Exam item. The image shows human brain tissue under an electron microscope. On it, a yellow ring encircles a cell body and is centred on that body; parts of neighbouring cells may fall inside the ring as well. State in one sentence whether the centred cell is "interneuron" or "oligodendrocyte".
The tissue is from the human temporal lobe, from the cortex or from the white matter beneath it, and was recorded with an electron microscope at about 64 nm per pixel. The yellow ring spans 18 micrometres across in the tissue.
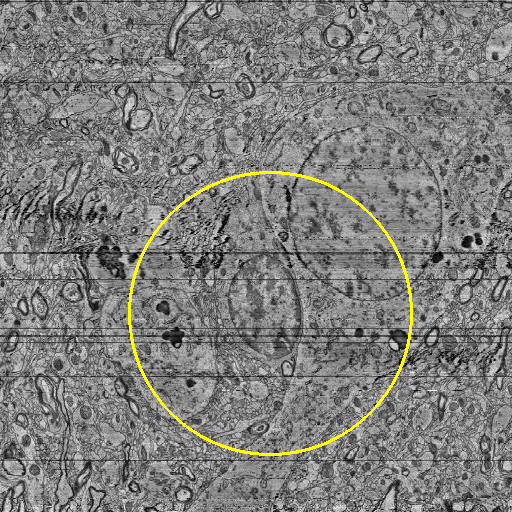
The cell body centred in the ring is an oligodendrocyte.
